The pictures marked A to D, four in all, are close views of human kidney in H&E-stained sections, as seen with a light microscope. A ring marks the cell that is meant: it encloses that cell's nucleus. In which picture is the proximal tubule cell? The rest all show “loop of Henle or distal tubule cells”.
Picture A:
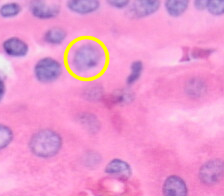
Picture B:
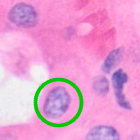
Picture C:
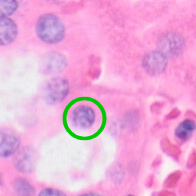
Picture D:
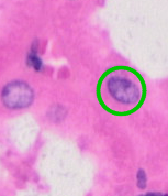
D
